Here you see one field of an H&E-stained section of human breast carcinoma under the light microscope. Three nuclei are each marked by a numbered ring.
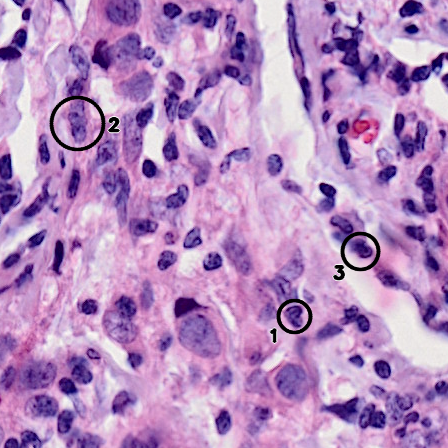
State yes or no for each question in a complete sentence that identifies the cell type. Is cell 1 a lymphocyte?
Yes, cell number 1 is identified here as a lymphocyte.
